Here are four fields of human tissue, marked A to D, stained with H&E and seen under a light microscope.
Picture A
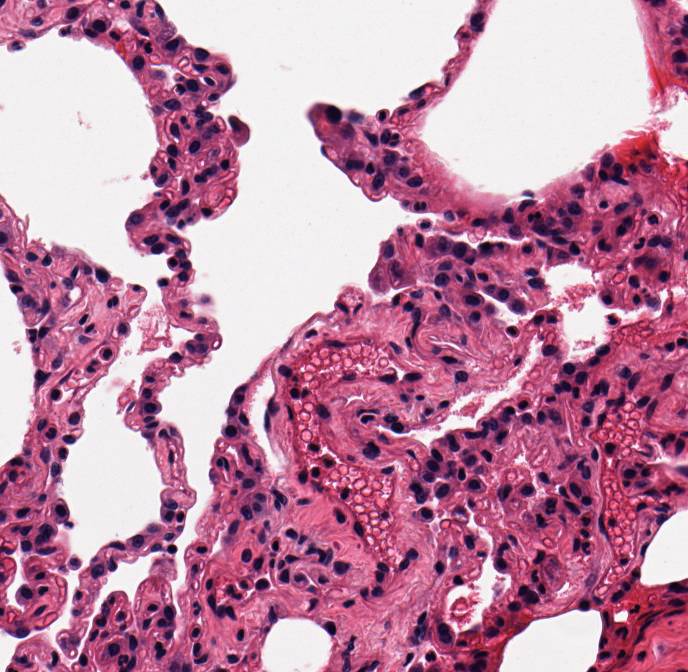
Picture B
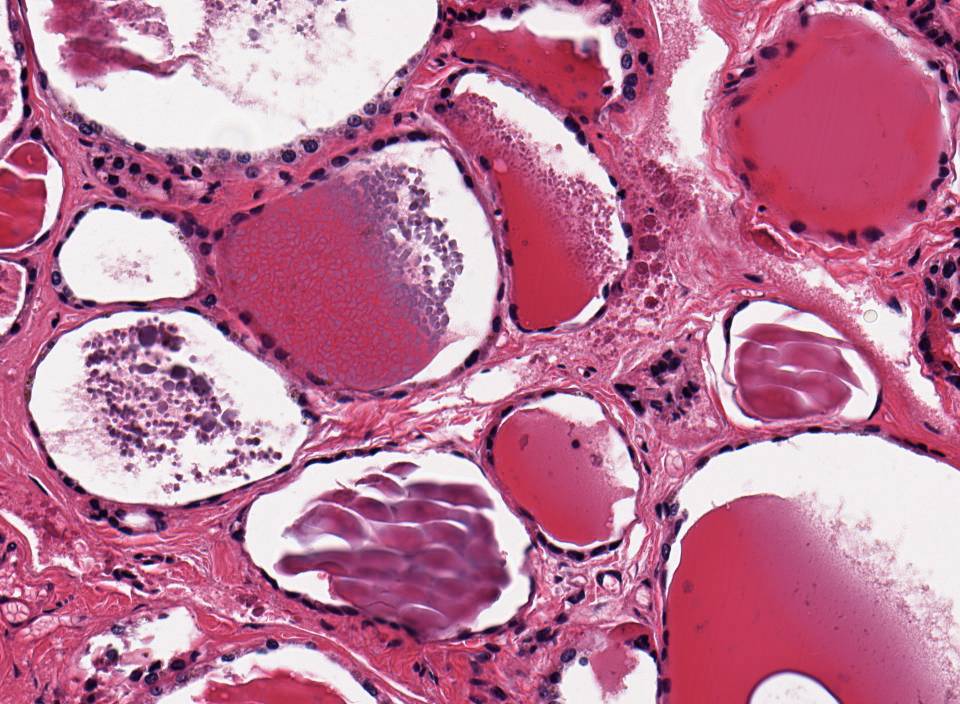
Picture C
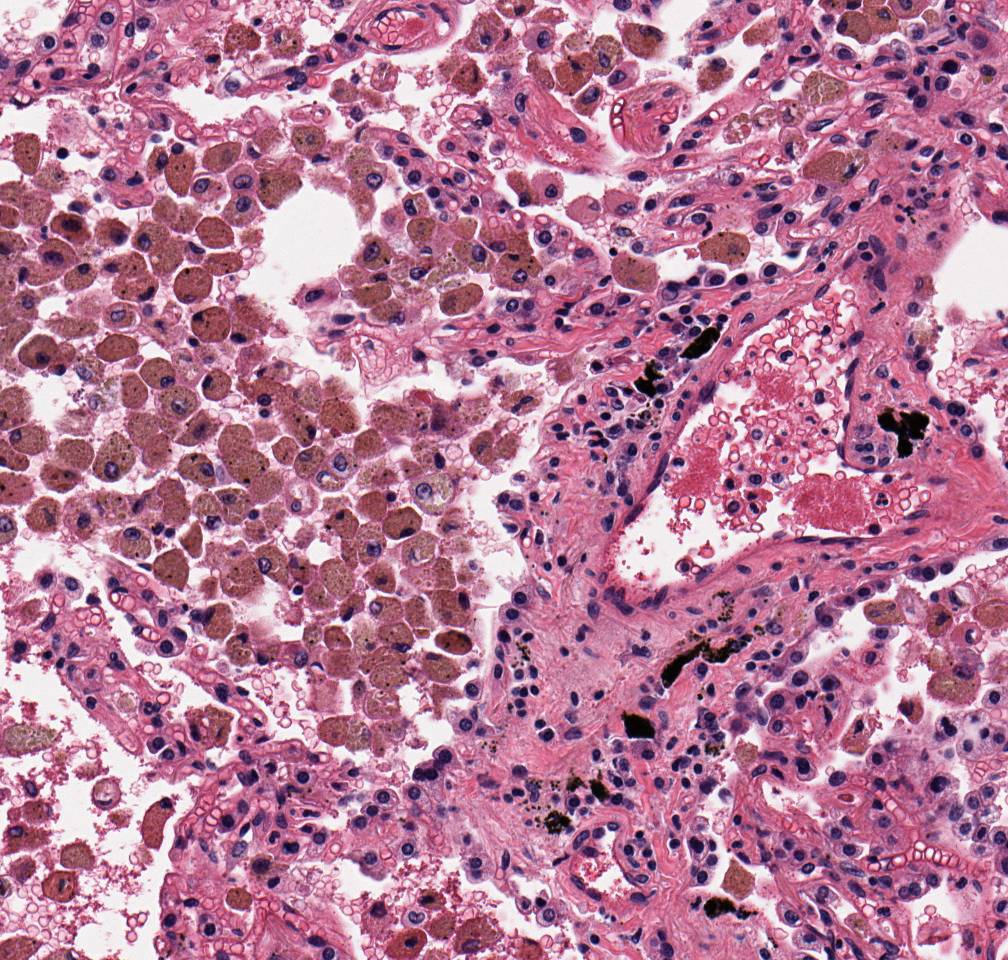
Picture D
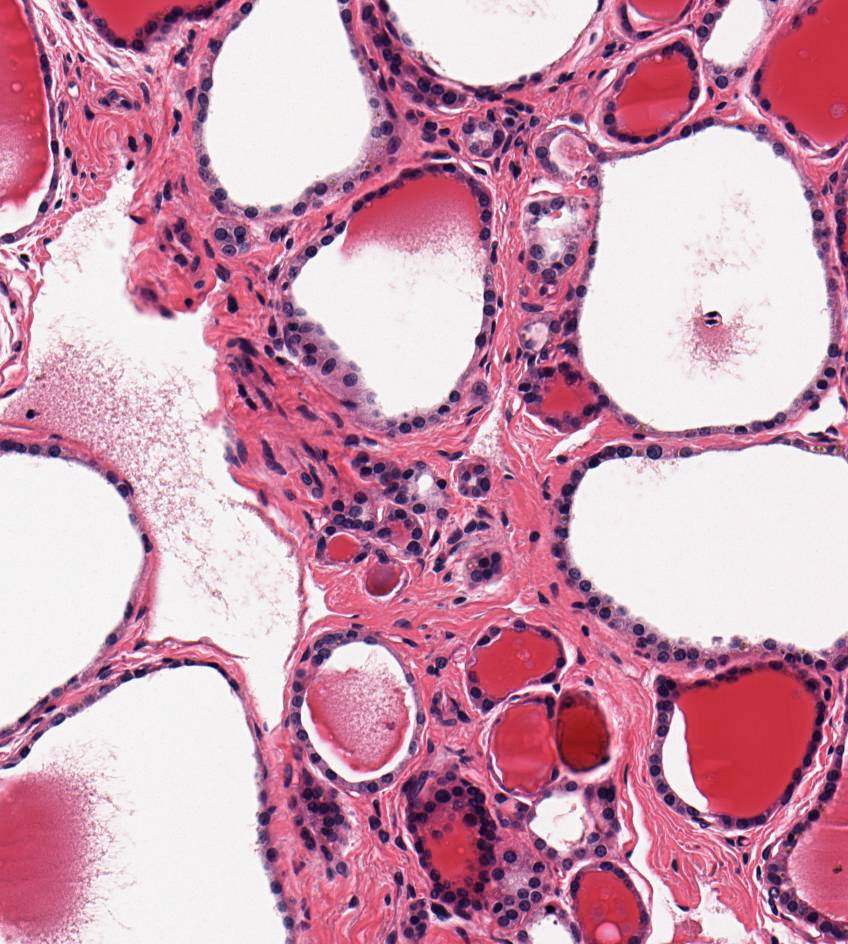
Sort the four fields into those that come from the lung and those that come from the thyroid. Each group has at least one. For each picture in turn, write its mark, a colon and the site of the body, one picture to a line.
A: lung
B: thyroid
C: lung
D: thyroid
